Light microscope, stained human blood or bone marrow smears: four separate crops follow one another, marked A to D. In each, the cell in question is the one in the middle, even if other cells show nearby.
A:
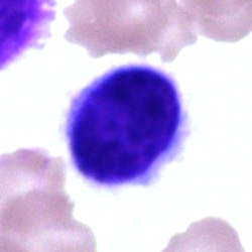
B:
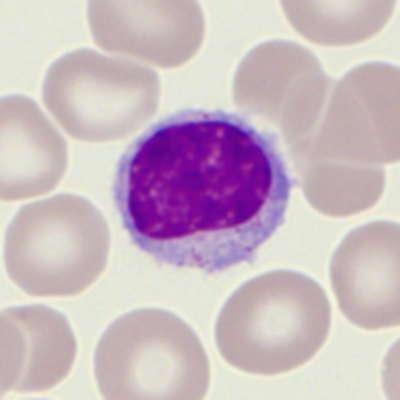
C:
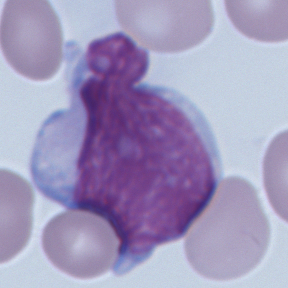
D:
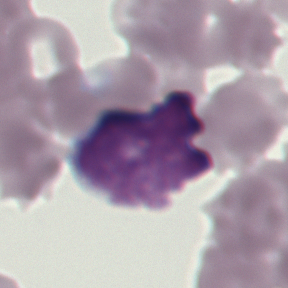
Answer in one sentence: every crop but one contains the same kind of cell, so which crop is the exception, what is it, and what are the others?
Just crop C is a blast; all the other crops show lymphocytes.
